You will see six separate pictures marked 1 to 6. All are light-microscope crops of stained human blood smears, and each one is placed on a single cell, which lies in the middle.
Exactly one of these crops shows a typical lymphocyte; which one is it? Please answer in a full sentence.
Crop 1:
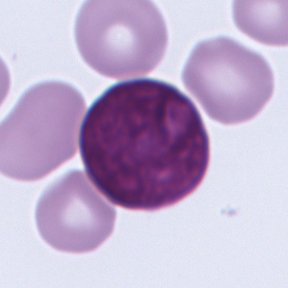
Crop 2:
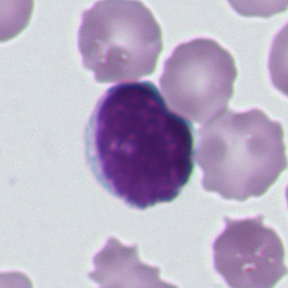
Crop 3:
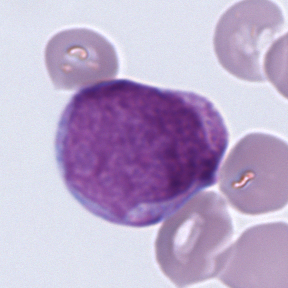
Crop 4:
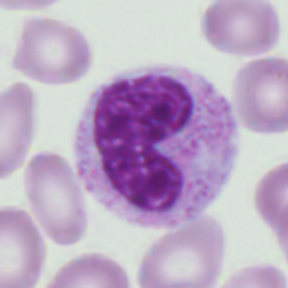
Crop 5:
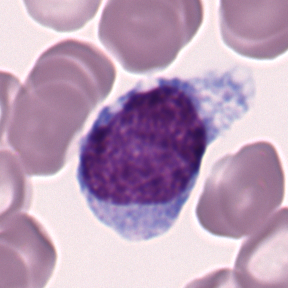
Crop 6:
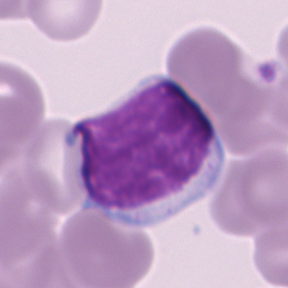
It is in crop 2, among all the crops, that a typical lymphocyte is present.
